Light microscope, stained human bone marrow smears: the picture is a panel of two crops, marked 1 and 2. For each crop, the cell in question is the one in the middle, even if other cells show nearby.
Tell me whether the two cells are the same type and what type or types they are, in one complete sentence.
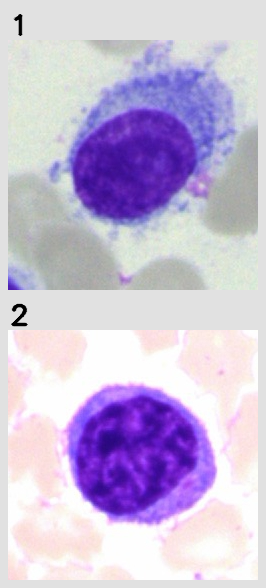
No, crop 1 shows a hairy cell, whereas a plasma cell is what crop 2 shows.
